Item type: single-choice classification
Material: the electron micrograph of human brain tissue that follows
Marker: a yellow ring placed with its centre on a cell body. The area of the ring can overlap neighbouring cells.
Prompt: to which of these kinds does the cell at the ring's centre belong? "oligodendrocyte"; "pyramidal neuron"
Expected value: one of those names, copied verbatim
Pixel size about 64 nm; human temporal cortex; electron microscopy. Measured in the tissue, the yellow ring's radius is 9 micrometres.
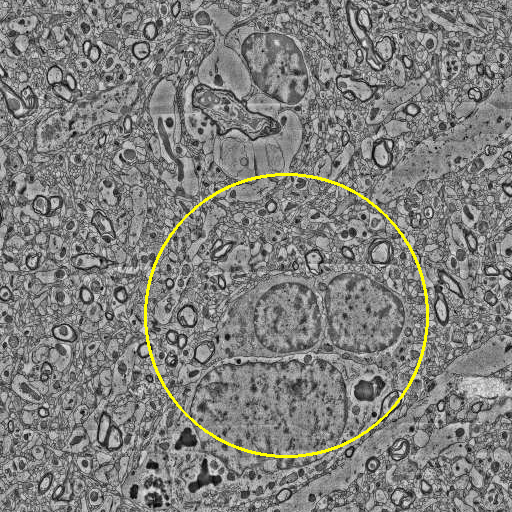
oligodendrocyte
